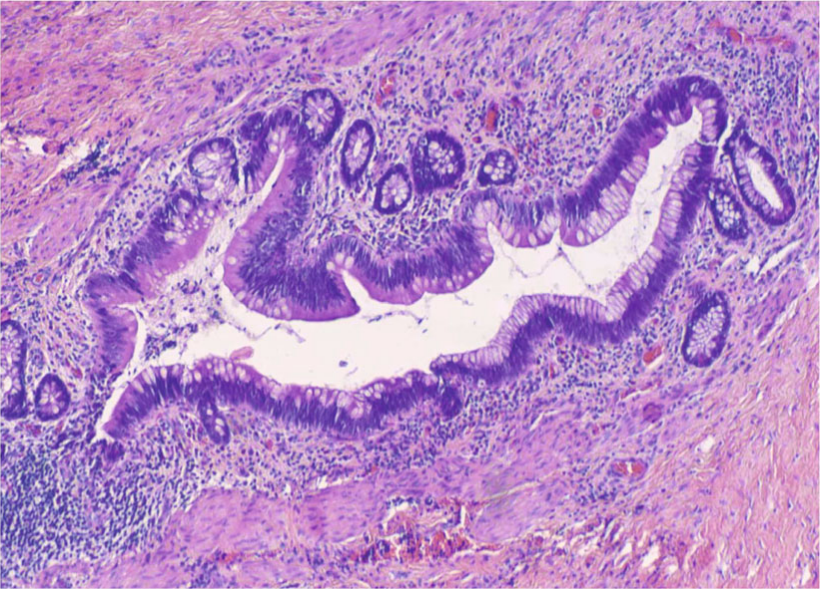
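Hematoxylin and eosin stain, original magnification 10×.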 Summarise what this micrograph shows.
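A cyst wall is lined by mucinous glandular epithelium, a single layer of tall columnar cells around an irregular, elongated, mostly empty lumen. The lining cells have dark, crowded nuclei toward the base and pale, vacuolated mucin-filled cytoplasm toward the lumen. Small round glands with a similar pale-celled lining sit in the surrounding cellular stroma, with a dense cluster of small dark lymphocyte-like cells at the lower left and pink fibromuscular tissue at the periphery.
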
